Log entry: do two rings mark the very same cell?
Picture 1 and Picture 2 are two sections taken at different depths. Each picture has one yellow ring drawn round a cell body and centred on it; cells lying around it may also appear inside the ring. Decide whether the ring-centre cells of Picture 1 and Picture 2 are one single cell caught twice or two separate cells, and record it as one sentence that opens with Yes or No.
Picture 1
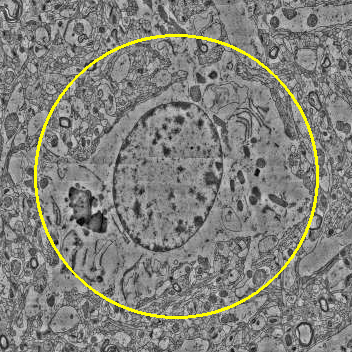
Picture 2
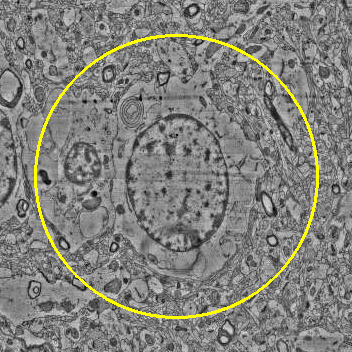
No, each of the two rings holds a different cell.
